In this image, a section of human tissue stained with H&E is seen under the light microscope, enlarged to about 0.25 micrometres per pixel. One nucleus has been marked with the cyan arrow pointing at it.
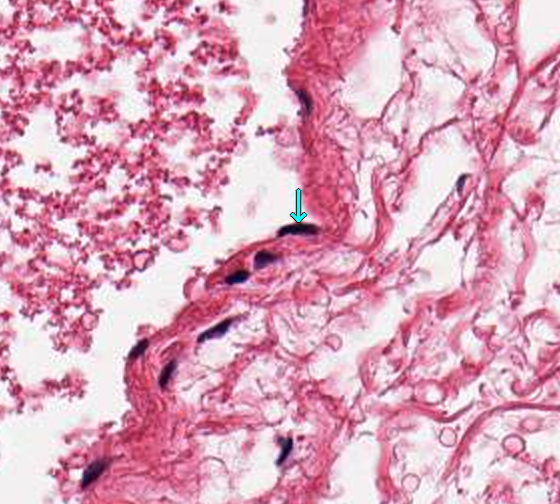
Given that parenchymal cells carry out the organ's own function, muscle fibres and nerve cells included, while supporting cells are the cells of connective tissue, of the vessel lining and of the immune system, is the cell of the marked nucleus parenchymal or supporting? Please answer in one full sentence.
In this field, the marked nucleus is the nucleus of a supporting cell.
